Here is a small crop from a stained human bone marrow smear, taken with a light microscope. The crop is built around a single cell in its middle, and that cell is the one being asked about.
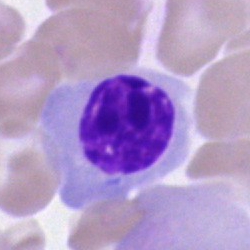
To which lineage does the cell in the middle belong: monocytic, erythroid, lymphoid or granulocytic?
erythroid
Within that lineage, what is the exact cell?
erythroblast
